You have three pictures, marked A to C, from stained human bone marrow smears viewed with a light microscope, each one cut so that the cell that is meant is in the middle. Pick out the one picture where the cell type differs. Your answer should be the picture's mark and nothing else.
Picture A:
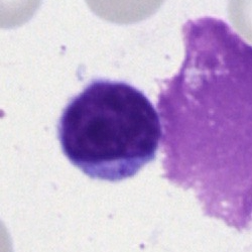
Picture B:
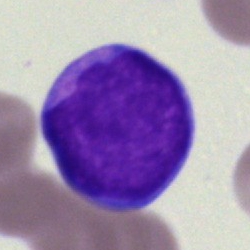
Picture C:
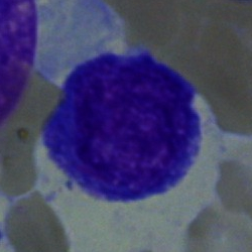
A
